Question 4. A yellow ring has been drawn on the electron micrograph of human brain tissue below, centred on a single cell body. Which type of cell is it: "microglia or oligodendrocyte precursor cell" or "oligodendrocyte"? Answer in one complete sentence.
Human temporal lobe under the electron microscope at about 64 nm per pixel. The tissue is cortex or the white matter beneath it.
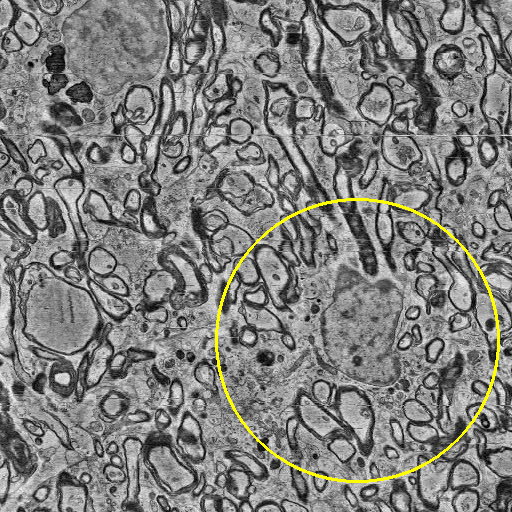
This cell body belongs to a microglial cell or oligodendrocyte precursor cell.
